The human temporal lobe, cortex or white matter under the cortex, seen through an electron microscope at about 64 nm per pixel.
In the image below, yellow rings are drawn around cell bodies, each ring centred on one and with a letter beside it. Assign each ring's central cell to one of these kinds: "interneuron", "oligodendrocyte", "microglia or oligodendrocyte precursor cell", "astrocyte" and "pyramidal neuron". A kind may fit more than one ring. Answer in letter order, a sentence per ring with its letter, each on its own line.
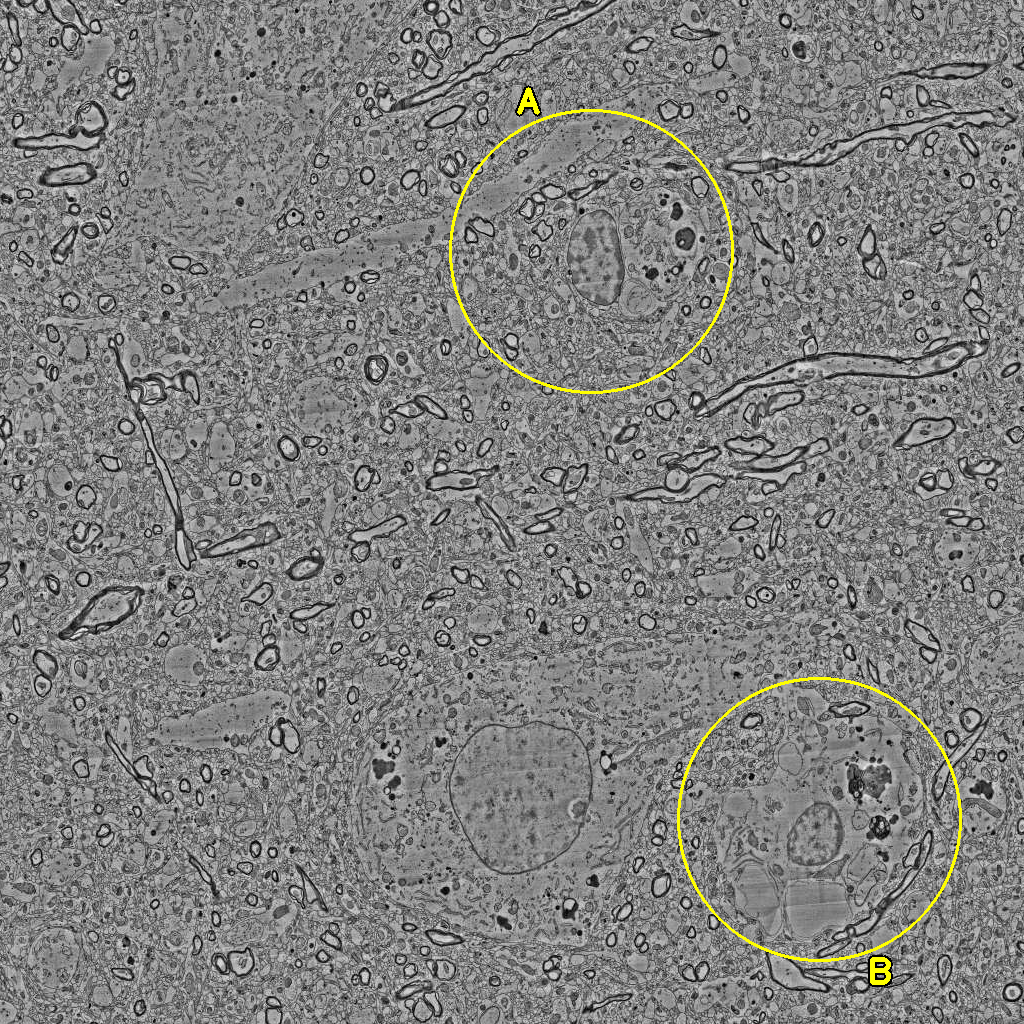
The central cell of ring A is a microglial cell or oligodendrocyte precursor cell.
The central cell of ring B is an astrocyte.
